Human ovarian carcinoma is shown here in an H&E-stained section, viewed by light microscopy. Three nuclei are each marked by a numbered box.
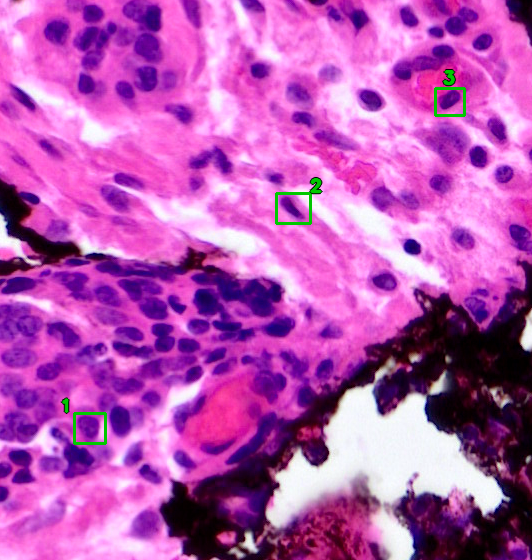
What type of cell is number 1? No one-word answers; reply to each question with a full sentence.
To a carcinoma cell belongs the nucleus marked 1.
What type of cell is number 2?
In the marked set, the cell given number 2 is a fibroblast.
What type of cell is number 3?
Cell number 3 in this section is an endothelial cell.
